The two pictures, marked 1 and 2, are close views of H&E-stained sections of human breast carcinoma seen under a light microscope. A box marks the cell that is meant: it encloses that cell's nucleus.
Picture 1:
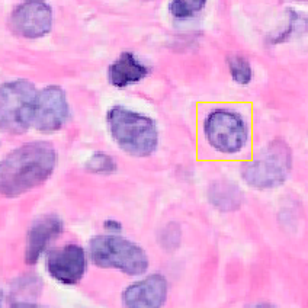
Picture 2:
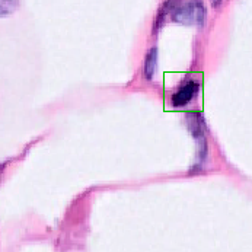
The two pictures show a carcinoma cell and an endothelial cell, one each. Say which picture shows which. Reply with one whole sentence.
Picture 1 shows a carcinoma cell and picture 2 shows an endothelial cell.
